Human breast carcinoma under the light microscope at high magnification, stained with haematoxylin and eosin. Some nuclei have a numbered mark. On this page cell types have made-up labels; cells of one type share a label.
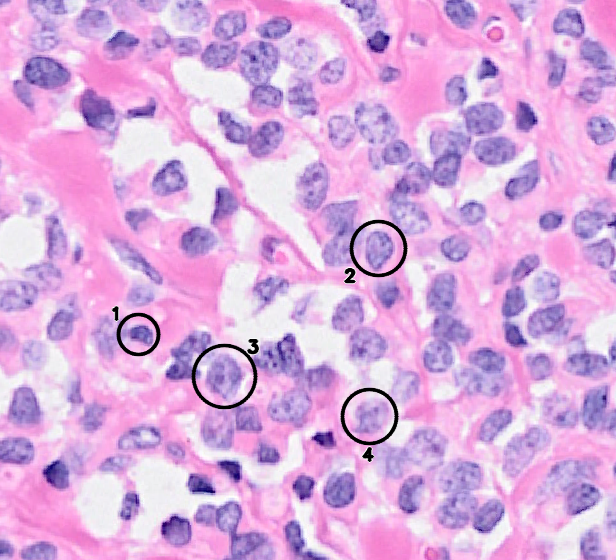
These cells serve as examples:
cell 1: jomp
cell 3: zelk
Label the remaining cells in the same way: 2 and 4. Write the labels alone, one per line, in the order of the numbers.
zelk
zelk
